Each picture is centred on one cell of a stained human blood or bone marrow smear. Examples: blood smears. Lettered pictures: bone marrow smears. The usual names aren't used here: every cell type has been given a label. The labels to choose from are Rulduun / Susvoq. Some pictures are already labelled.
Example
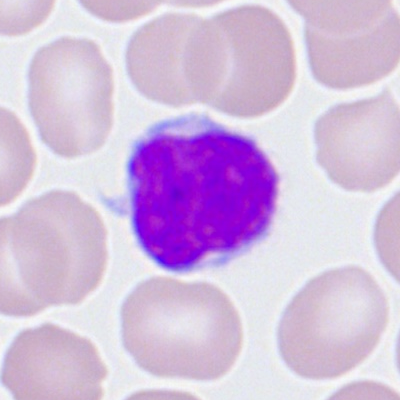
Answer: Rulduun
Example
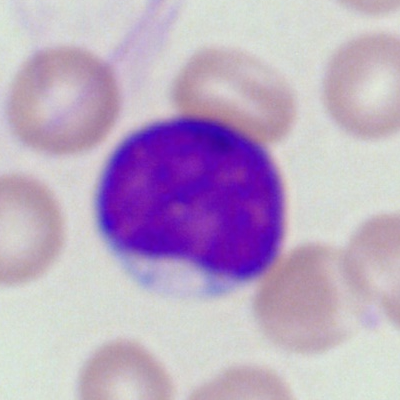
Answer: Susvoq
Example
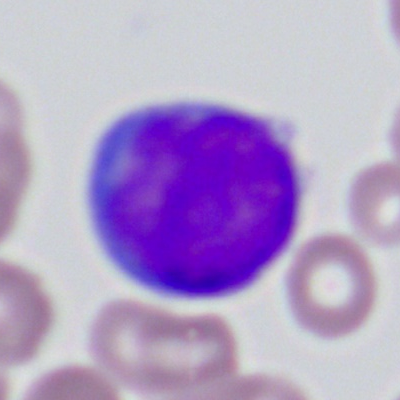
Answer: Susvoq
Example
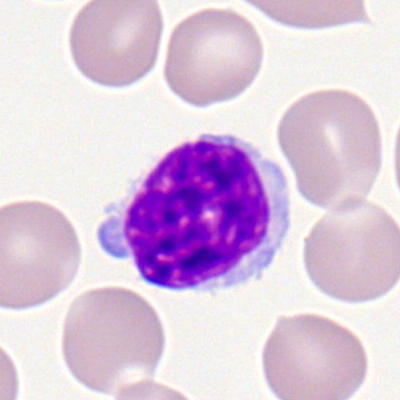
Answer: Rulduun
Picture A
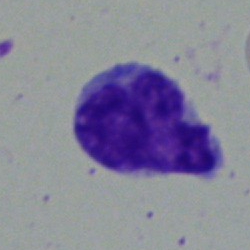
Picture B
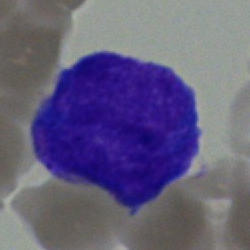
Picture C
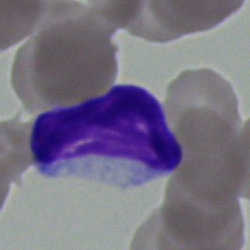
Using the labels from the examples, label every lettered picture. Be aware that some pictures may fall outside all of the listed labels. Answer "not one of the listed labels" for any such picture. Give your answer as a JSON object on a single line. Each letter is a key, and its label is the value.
{"A": "not one of the listed labels", "B": "Susvoq", "C": "Rulduun"}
